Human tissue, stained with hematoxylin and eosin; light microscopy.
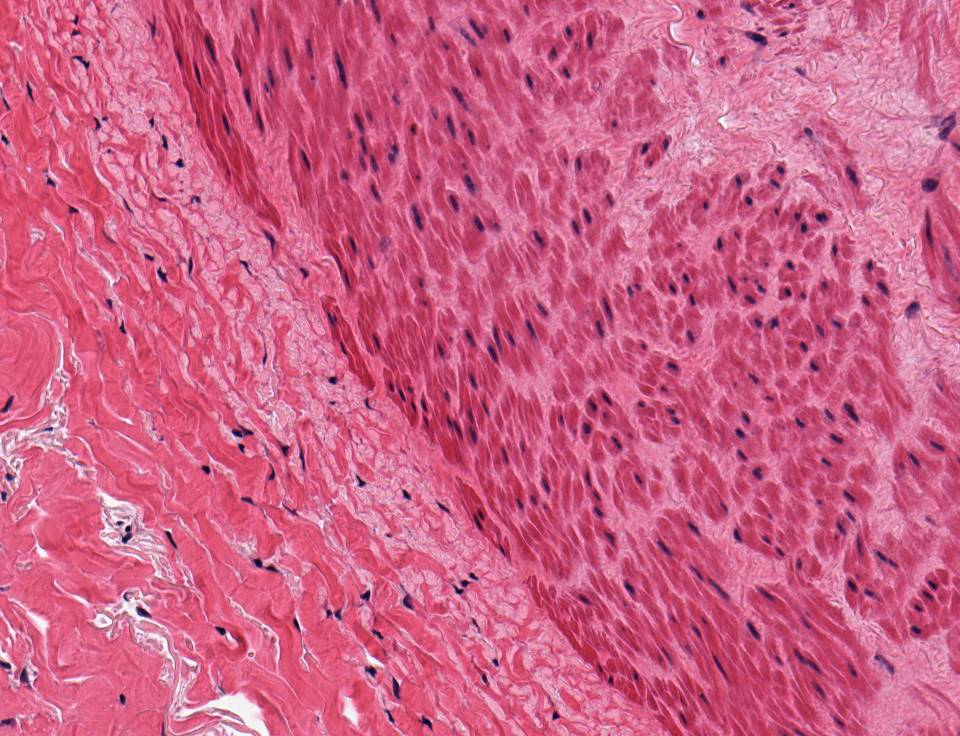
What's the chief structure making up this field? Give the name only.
tunica media of an artery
